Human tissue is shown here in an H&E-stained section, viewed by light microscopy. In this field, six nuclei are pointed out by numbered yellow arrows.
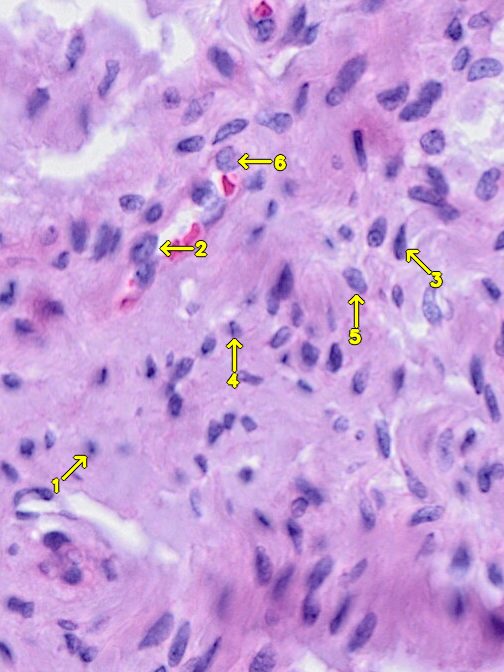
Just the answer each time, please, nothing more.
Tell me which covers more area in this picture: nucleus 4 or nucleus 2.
2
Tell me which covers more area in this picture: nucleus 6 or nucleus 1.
6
